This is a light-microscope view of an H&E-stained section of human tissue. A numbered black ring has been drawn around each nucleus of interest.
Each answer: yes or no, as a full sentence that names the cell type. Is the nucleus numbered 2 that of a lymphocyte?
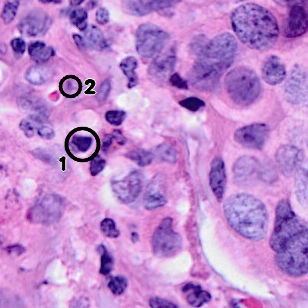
No, number 2 marks an endothelial cell rather than a lymphocyte.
